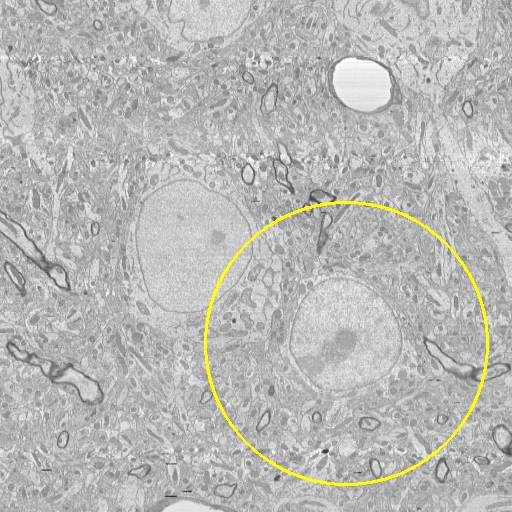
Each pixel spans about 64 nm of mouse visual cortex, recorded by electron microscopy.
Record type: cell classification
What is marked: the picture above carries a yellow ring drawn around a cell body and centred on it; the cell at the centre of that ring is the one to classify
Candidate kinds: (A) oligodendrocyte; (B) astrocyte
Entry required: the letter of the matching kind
B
